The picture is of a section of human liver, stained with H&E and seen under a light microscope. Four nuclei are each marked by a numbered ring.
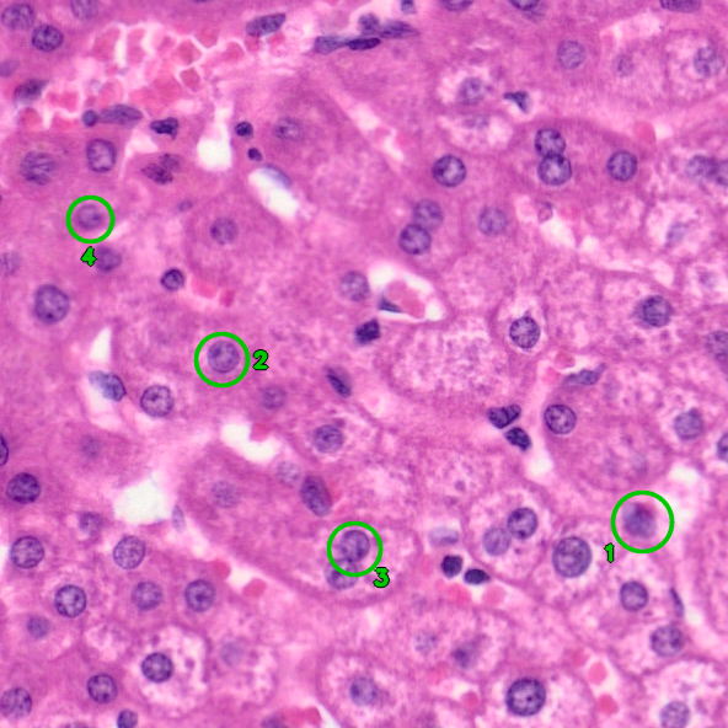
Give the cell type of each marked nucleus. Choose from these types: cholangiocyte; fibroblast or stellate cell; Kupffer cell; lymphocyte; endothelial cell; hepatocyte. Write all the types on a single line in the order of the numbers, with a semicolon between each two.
endothelial cell; hepatocyte; hepatocyte; hepatocyte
